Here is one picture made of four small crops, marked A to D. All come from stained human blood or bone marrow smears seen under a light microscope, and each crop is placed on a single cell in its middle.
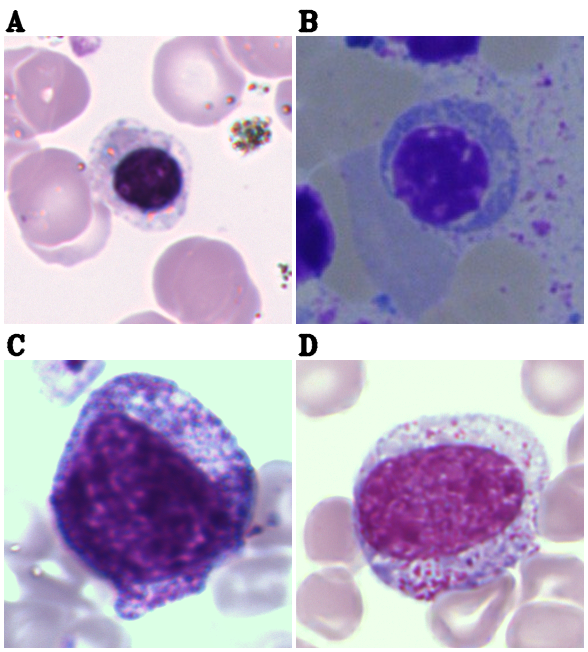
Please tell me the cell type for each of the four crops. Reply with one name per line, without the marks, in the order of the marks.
erythroblast
erythroblast
promyelocyte
promyelocyte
